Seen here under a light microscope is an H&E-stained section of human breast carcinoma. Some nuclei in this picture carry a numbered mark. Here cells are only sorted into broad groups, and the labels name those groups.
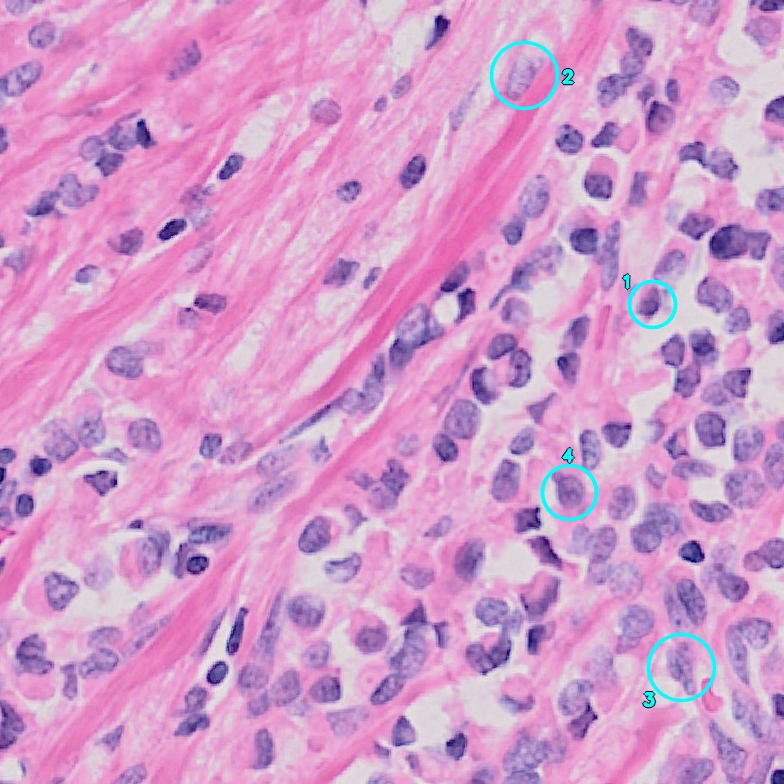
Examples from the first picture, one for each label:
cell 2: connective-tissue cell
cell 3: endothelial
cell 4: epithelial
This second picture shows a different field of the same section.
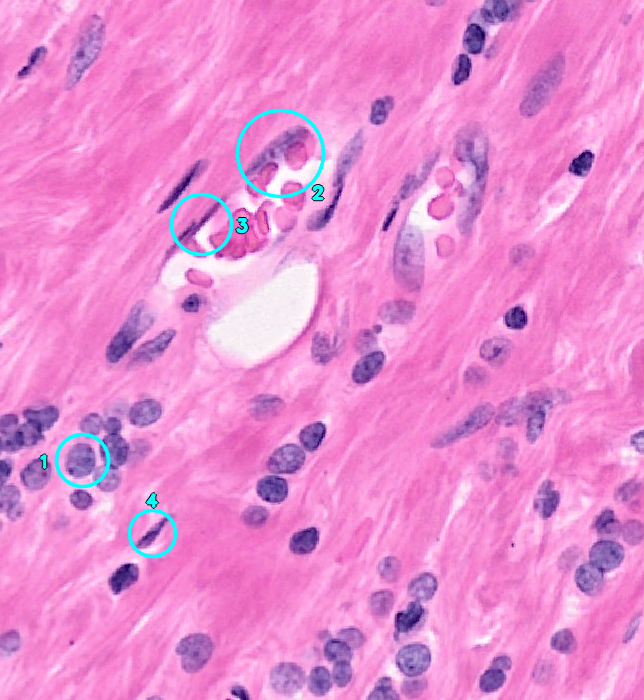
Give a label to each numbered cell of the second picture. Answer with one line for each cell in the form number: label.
1: epithelial
2: endothelial
3: endothelial
4: connective-tissue cell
